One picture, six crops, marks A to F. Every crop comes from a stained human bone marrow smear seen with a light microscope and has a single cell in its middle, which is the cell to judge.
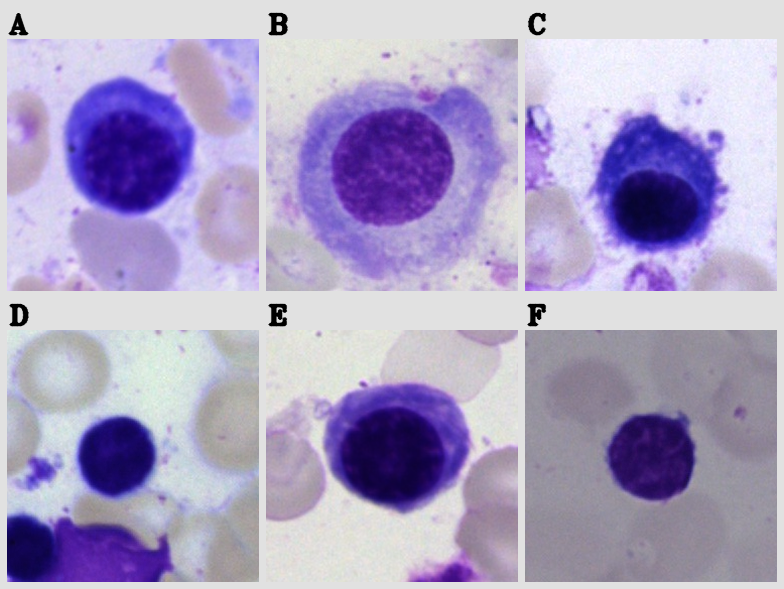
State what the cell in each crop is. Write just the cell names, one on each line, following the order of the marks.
erythroblast
plasma cell
plasma cell
lymphocyte
erythroblast
lymphocyte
